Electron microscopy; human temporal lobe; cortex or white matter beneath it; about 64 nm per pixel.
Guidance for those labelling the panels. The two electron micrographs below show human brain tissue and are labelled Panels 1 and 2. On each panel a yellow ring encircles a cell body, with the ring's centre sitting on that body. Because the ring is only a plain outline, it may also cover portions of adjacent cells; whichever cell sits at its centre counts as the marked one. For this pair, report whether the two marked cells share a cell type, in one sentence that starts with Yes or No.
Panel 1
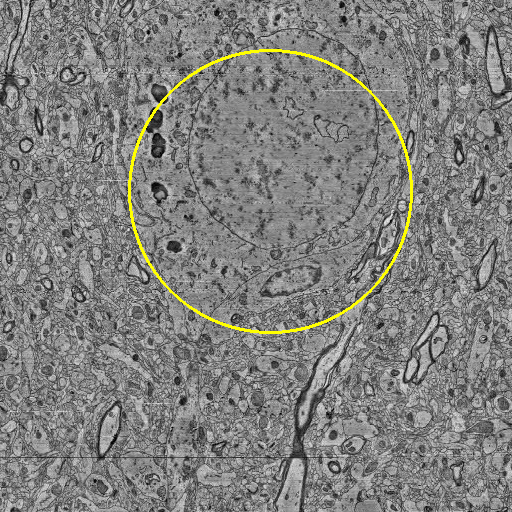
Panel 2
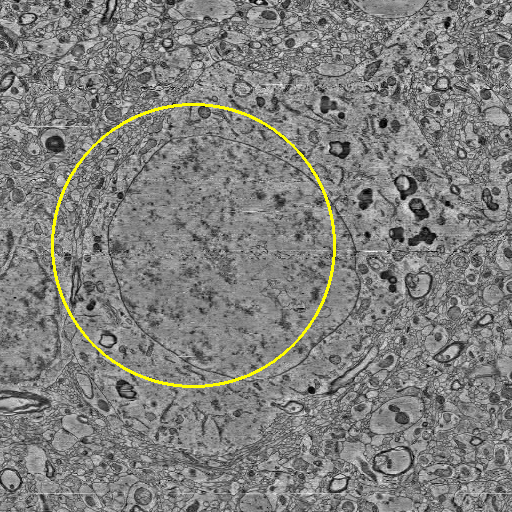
Yes, in Panel 1 and Panel 2 the marked cells at the ring centres share one type.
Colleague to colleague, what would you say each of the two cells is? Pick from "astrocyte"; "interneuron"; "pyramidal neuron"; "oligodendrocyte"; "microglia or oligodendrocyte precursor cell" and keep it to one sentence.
The second cell is a pyramidal neuron, just as the first is.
